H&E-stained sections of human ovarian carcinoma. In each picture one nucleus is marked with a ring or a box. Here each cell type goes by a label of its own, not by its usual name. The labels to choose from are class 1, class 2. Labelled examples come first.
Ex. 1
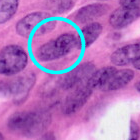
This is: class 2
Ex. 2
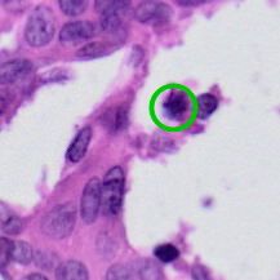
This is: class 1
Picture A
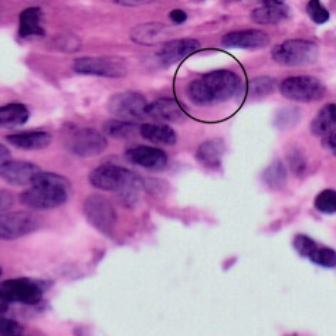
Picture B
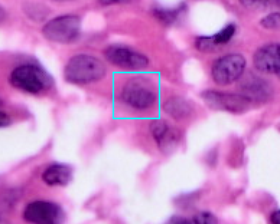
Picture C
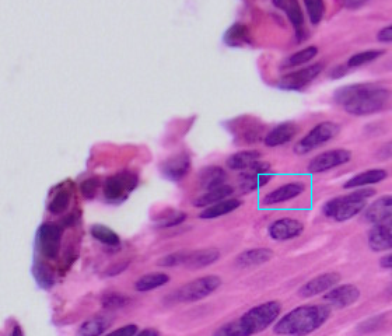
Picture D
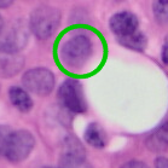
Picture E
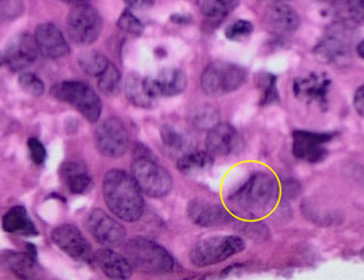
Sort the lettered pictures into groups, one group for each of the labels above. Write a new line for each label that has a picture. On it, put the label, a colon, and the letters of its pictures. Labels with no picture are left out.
class 2: A, B, C, D, E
